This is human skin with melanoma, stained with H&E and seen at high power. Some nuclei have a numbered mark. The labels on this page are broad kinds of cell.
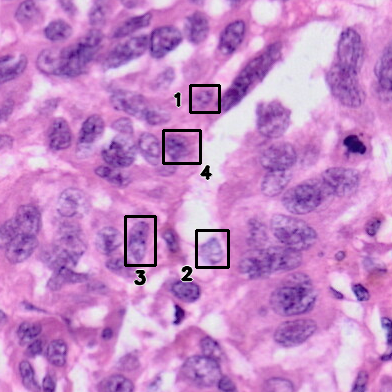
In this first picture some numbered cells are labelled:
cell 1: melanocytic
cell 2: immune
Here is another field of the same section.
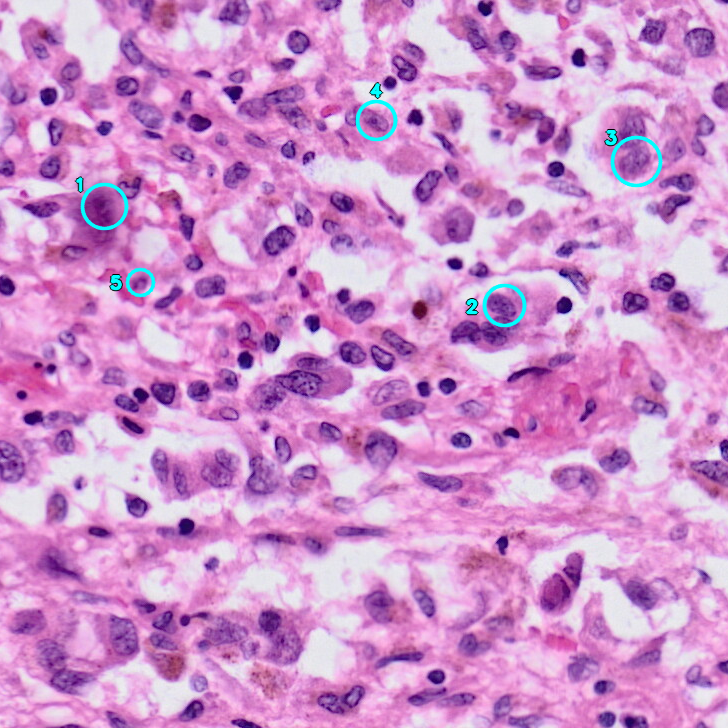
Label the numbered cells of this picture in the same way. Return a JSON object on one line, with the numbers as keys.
{"1": "melanocytic", "2": "melanocytic", "3": "melanocytic", "4": "immune", "5": "immune"}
